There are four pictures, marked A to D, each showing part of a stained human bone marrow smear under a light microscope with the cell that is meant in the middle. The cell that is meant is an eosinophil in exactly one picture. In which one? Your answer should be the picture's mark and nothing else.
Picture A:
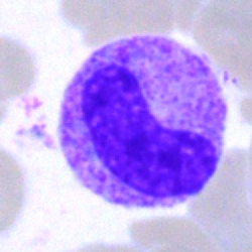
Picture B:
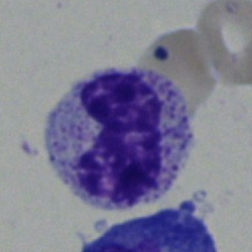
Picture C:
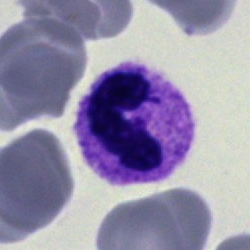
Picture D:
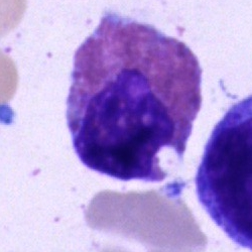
D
